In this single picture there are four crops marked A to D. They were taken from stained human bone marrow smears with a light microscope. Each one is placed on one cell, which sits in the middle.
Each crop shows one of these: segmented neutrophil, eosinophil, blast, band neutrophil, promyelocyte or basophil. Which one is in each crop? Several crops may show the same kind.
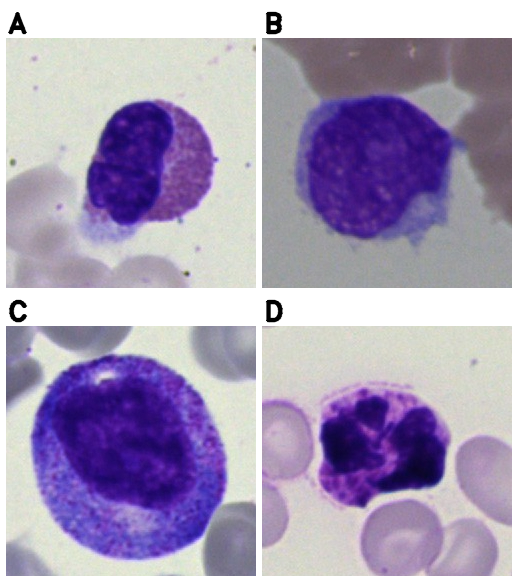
A: eosinophil
B: blast
C: promyelocyte
D: basophil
